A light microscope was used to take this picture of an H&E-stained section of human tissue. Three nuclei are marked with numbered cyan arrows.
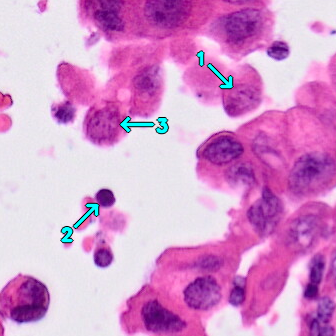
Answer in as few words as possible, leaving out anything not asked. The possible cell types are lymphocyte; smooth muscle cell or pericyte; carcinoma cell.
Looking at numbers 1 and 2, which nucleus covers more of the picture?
1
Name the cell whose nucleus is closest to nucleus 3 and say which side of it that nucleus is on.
a lymphocyte, to the left of nucleus 3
